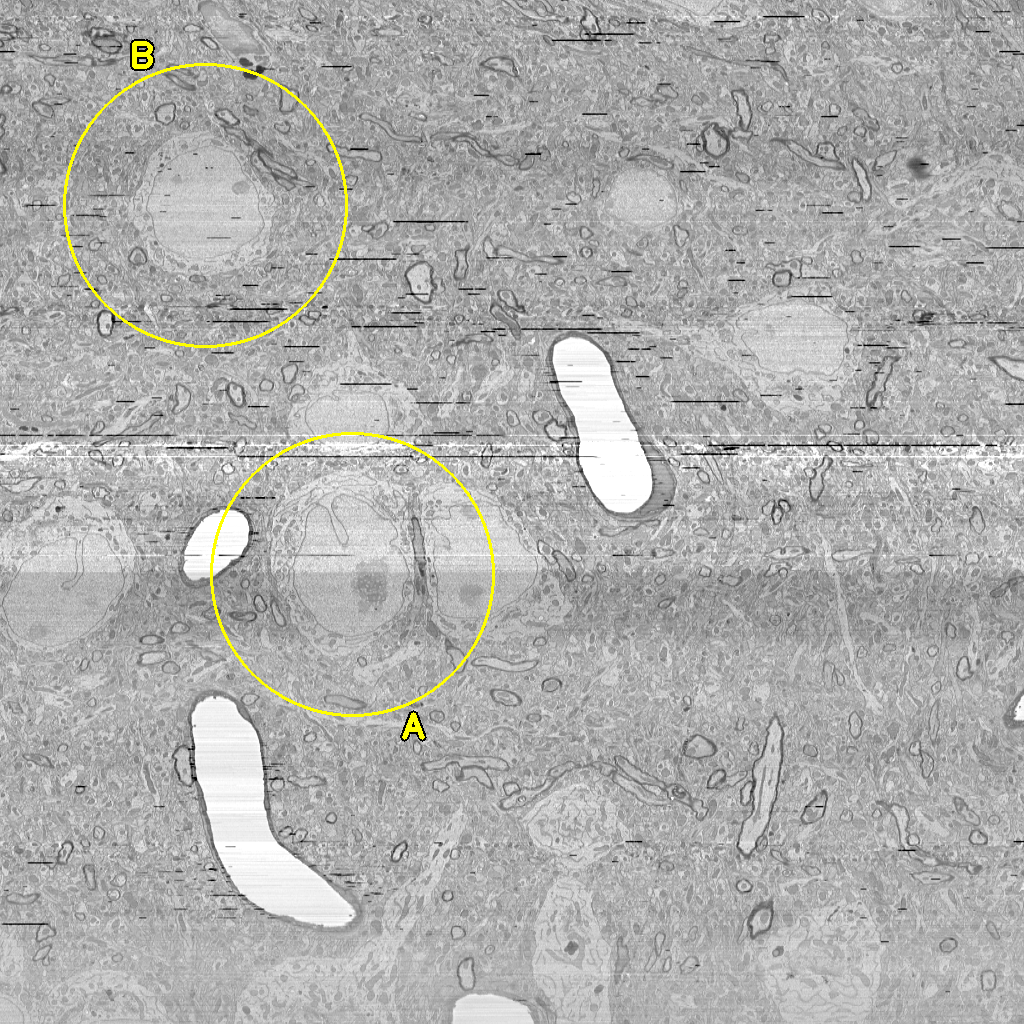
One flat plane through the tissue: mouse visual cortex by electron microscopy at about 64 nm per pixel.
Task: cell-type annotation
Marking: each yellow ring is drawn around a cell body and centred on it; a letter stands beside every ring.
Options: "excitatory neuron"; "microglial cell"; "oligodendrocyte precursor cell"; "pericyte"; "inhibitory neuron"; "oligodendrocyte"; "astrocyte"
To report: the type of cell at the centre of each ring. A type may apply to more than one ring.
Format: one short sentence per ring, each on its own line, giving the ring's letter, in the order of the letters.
Ring A is centred on an inhibitory neuron.
Ring B is centred on an excitatory neuron.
